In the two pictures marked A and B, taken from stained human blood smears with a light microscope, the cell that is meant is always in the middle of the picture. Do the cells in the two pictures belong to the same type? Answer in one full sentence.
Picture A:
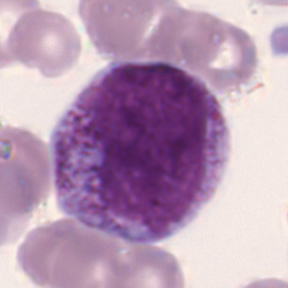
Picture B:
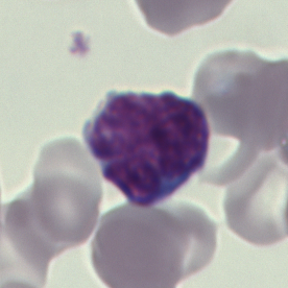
No, they differ: the cell is a promyelocyte in picture A and a typical lymphocyte in picture B.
